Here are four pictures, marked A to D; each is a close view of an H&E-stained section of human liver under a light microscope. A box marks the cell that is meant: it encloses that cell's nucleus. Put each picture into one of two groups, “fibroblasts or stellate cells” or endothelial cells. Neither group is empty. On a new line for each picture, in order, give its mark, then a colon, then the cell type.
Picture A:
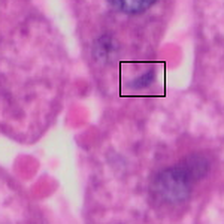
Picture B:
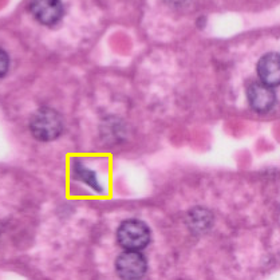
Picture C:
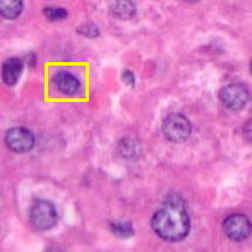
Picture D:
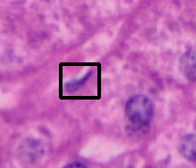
A: fibroblast or stellate cell
B: endothelial cell
C: fibroblast or stellate cell
D: endothelial cell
